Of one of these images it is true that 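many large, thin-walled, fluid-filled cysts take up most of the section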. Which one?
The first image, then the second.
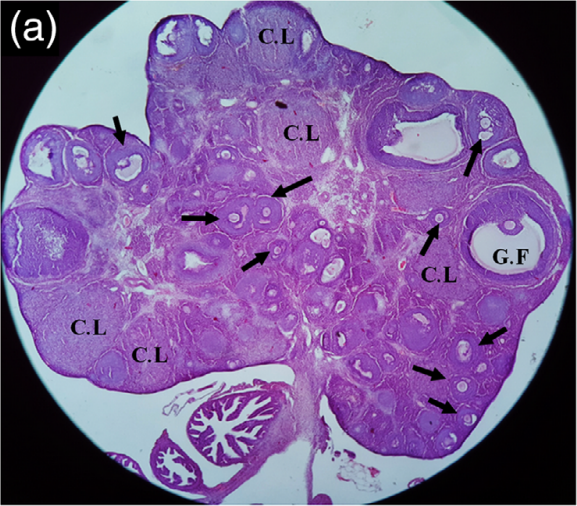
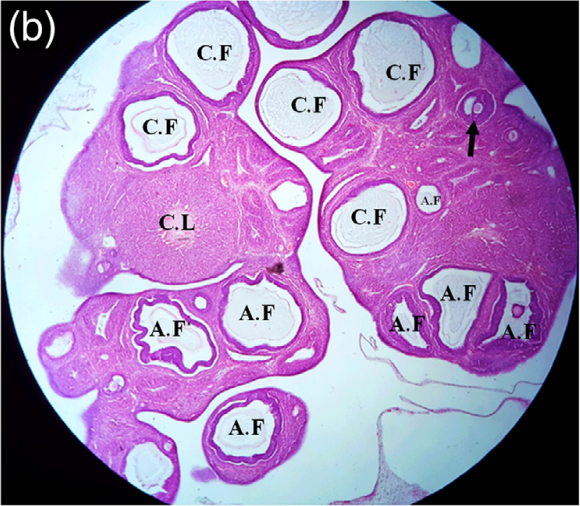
The second image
